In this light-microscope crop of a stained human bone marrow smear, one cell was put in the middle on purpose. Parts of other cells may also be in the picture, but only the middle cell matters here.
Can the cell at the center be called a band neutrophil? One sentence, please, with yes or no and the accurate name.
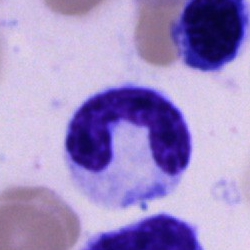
Yes, the cell in the middle is rightly called a band neutrophil.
